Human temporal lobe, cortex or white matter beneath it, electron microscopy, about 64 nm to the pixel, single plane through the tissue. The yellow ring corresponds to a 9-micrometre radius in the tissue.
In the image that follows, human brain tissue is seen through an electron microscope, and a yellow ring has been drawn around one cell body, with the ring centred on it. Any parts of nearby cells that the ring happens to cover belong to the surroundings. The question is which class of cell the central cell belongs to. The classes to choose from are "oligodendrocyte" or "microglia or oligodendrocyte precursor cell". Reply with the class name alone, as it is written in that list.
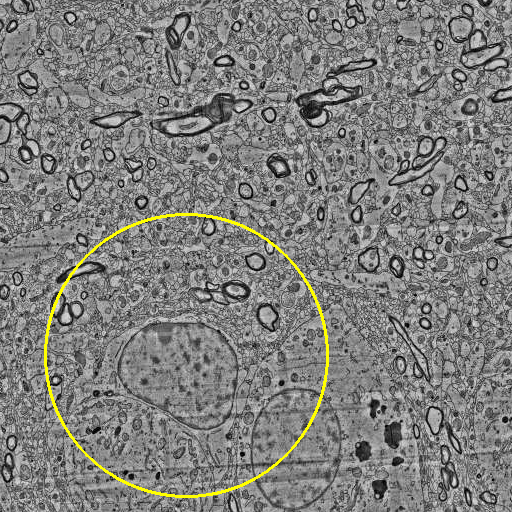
microglia or oligodendrocyte precursor cell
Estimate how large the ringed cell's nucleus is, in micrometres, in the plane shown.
Roughly 8 by 6 micrometres in this plane, for the nucleus of the ringed cell.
